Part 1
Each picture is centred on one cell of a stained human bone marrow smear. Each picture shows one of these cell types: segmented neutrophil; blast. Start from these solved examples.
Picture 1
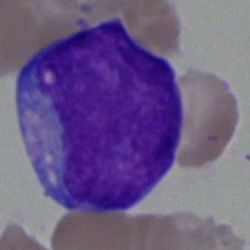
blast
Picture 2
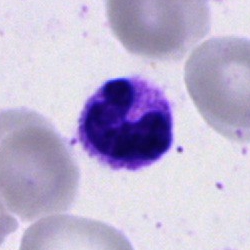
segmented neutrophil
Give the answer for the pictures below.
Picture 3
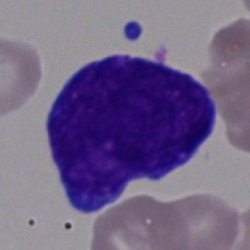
blast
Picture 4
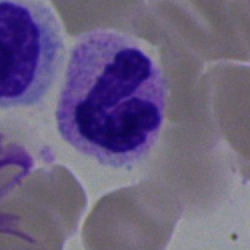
segmented neutrophil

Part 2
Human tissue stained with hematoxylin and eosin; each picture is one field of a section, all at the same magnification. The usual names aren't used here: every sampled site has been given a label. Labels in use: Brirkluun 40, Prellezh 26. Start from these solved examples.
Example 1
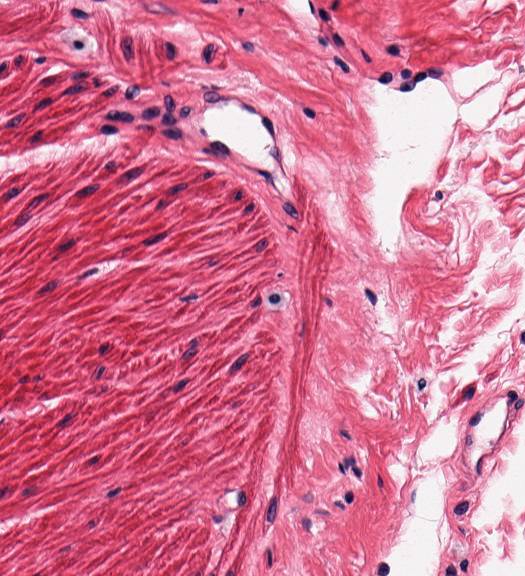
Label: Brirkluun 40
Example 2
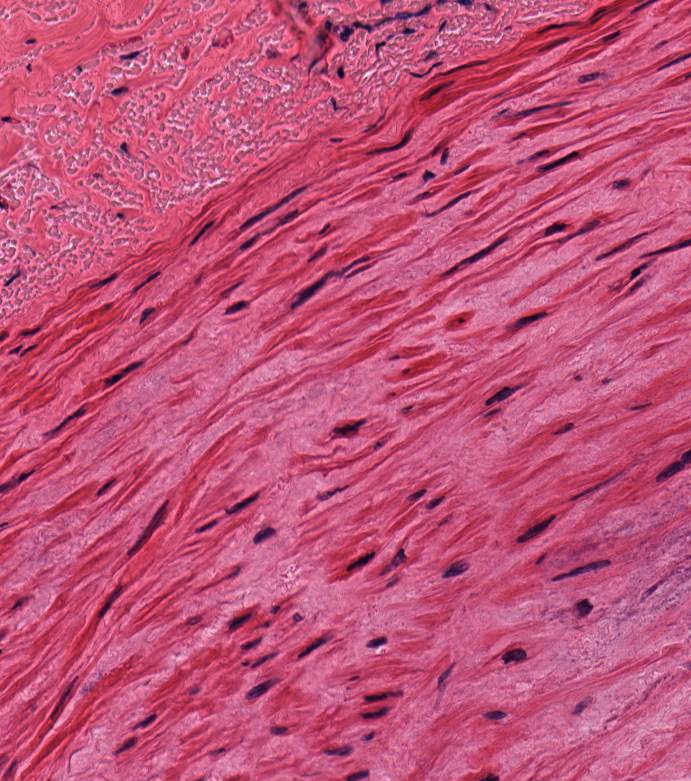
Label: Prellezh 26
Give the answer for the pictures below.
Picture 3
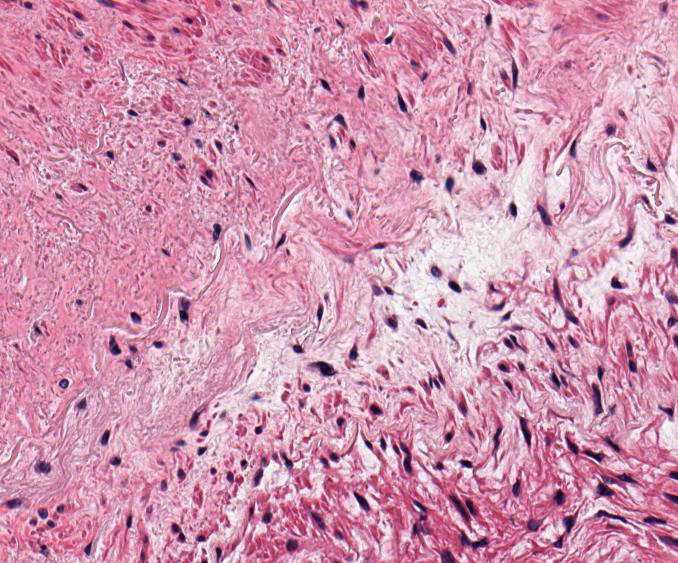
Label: Prellezh 26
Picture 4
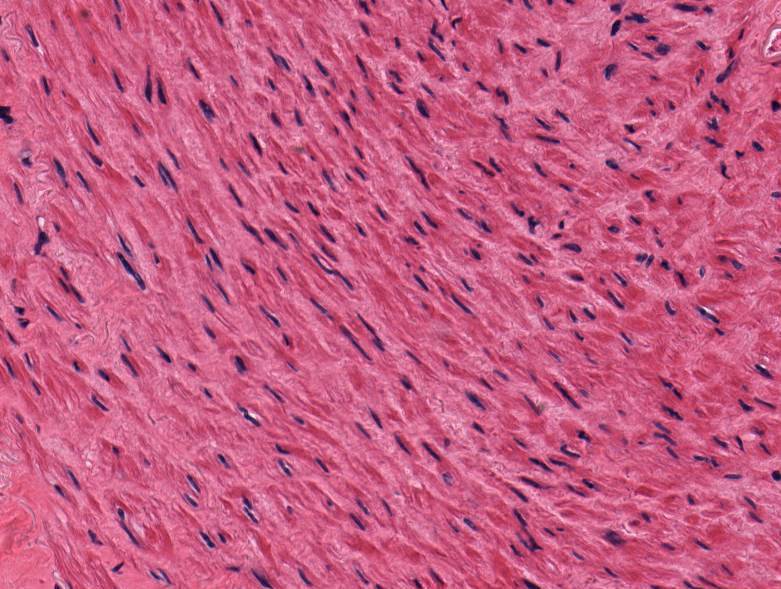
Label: Prellezh 26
